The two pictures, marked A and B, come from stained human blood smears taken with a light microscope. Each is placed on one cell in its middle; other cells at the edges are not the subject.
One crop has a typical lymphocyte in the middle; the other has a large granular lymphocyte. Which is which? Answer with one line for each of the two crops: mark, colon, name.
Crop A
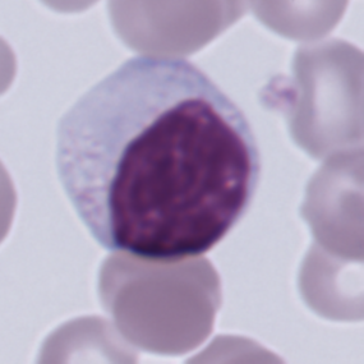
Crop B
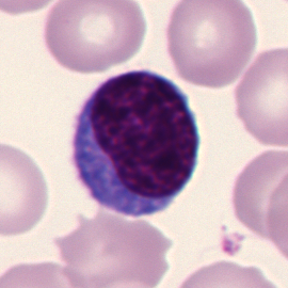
A: large granular lymphocyte
B: typical lymphocyte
